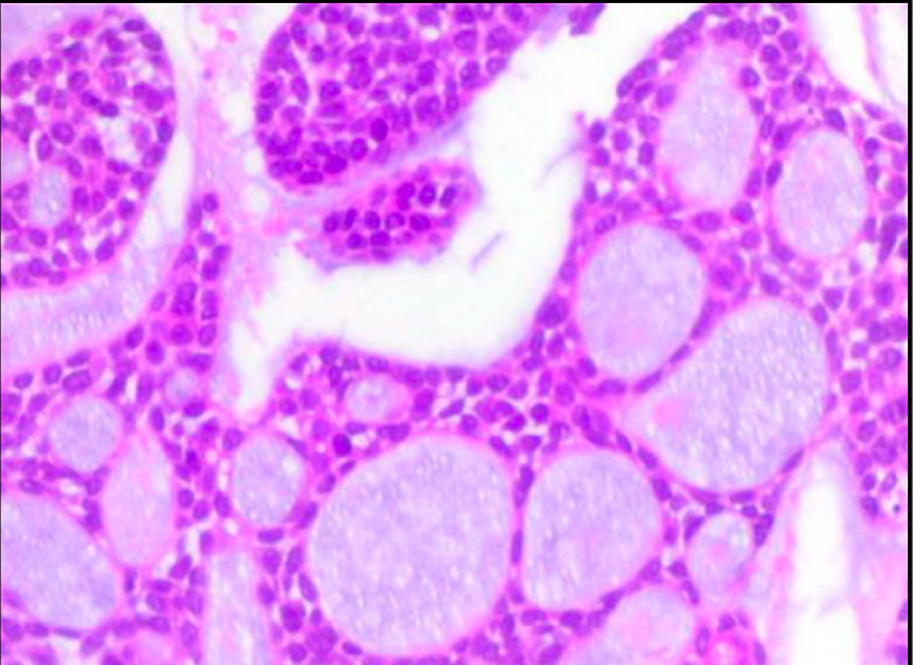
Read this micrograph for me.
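An infiltrating tumour made of uniform, small cuboidal cells with small, dark purple, round to oval nuclei and scant pink cytoplasm, arranged in solid nests and in a sieve-like cribriform pattern. Numerous round cystic spaces of varying size, filled with pale blue-lilac, finely granular mucoid material, are rimmed by thin layers of the tumour cells. Clear clefts separate some solid nests from the surrounding tumour.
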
